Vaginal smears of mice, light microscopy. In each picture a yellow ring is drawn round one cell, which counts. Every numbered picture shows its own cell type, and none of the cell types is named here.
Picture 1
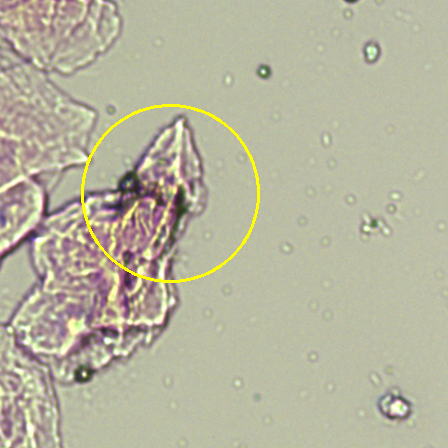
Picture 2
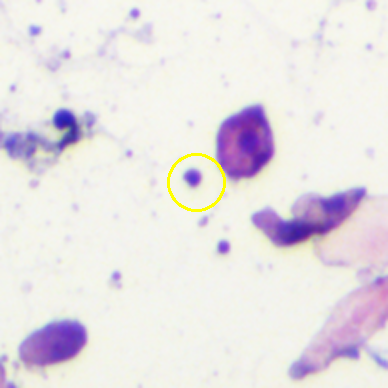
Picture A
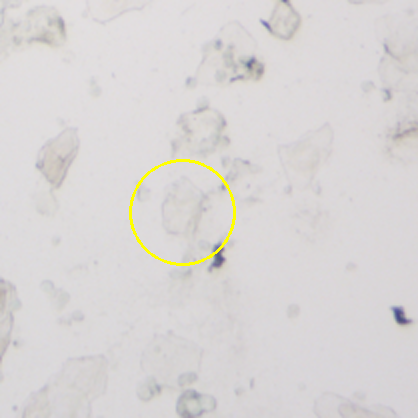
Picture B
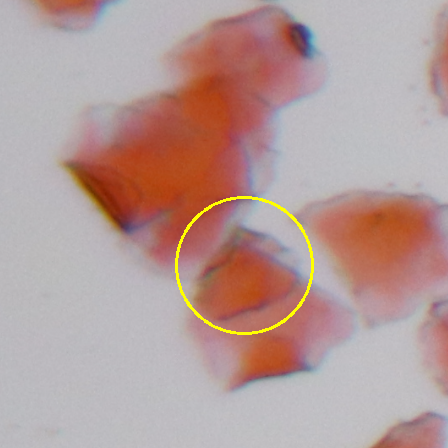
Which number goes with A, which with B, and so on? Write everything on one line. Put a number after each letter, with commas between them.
A 1, B 1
